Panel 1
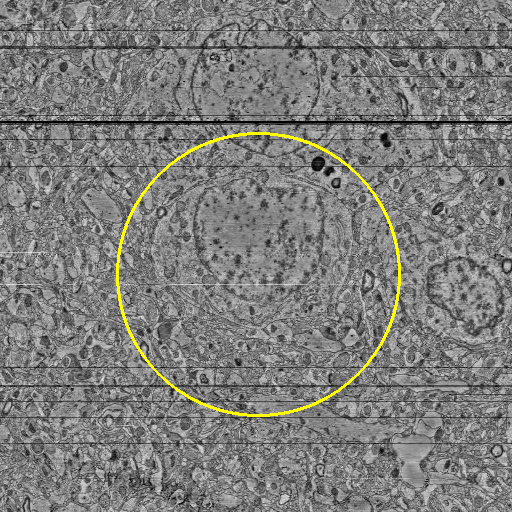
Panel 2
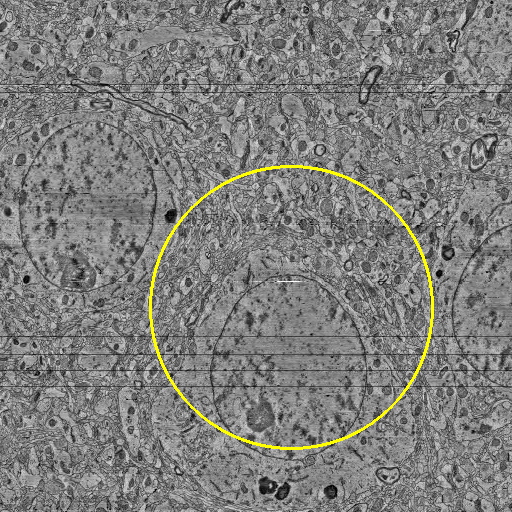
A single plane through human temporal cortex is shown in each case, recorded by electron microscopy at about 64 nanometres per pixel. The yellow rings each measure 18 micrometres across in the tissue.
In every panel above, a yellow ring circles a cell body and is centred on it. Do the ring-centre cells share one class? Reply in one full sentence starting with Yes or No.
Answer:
No, the two cells at the ring centres in the panels belong to two classes.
